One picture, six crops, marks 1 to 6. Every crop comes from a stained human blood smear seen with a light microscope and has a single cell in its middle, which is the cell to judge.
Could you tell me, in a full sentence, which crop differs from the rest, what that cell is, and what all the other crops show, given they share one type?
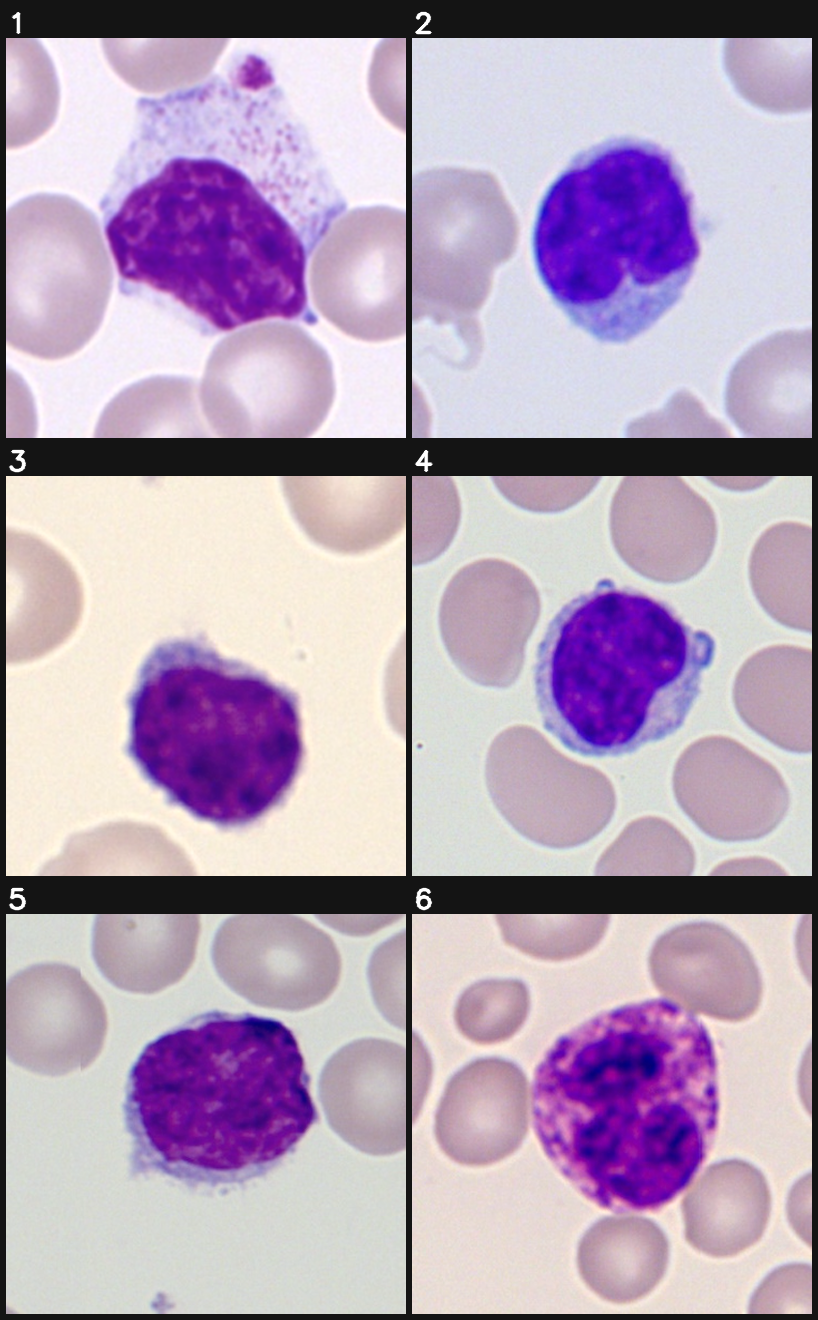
Where the others show lymphocytes, crop 6 shows a basophil.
